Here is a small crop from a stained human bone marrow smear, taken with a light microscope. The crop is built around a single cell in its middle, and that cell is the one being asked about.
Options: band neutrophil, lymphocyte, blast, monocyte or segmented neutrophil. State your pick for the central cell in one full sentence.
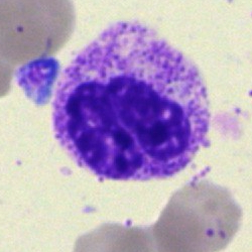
The crop centres on a single cell, and that cell is a segmented neutrophil.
